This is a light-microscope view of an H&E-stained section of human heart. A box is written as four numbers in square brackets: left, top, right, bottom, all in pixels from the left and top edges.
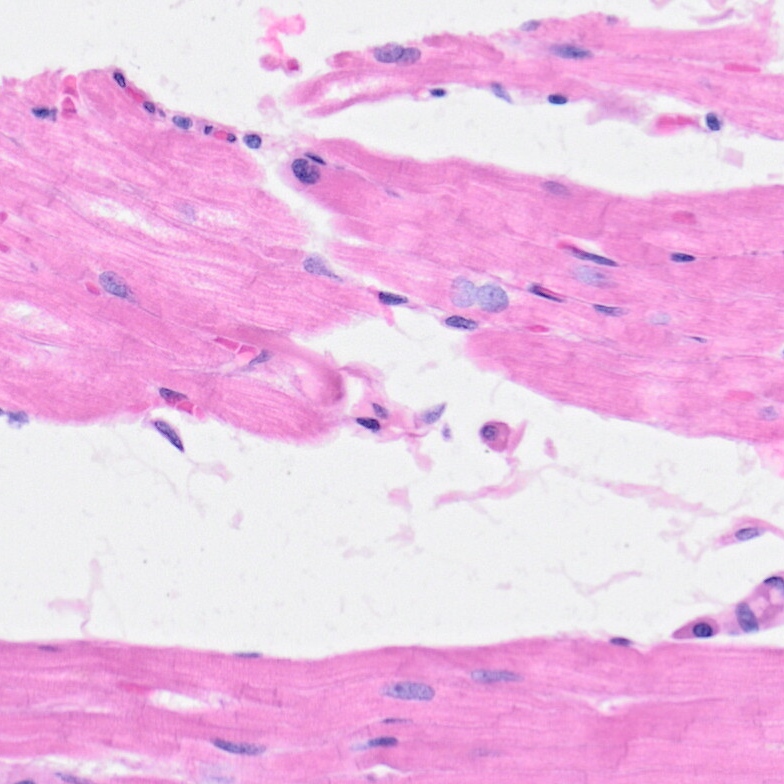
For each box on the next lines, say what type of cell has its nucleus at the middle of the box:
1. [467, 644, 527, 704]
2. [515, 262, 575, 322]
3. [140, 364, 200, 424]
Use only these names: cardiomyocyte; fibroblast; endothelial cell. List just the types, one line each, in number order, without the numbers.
cardiomyocyte
endothelial cell
fibroblast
